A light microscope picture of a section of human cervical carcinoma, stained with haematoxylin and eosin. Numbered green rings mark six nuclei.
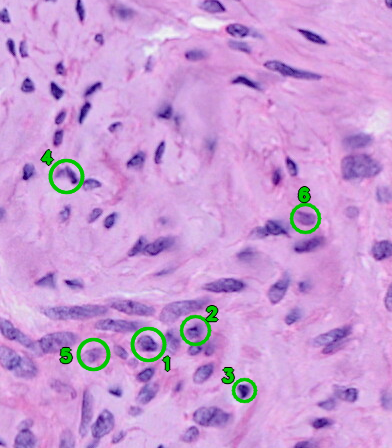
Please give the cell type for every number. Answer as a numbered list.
1. smooth muscle cell
2. smooth muscle cell
3. lymphocyte
4. fibroblast
5. smooth muscle cell
6. fibroblast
